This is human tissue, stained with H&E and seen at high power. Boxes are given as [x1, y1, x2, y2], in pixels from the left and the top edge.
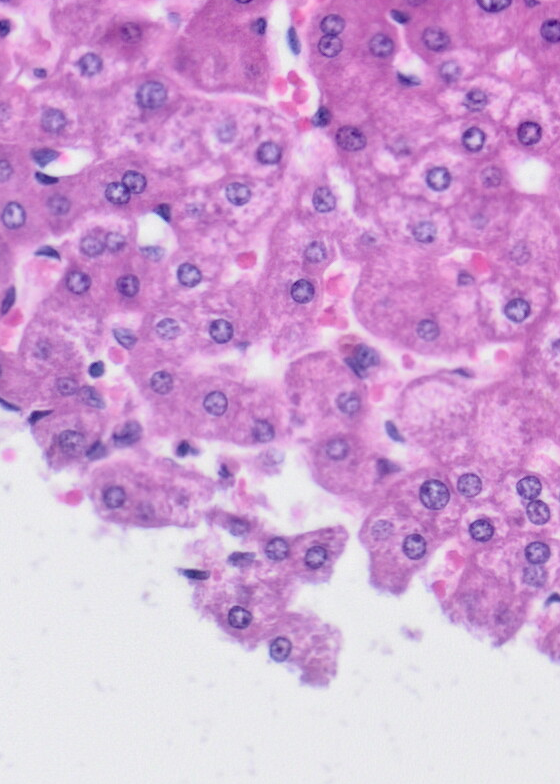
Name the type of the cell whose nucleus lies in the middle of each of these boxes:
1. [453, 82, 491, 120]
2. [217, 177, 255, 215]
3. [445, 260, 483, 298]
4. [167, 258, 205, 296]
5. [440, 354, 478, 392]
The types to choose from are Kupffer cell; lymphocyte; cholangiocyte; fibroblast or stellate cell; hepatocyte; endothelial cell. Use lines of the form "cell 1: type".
cell 1: hepatocyte
cell 2: hepatocyte
cell 3: Kupffer cell
cell 4: hepatocyte
cell 5: Kupffer cell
